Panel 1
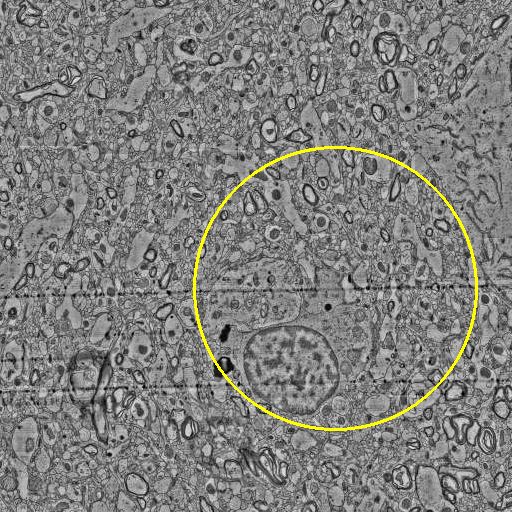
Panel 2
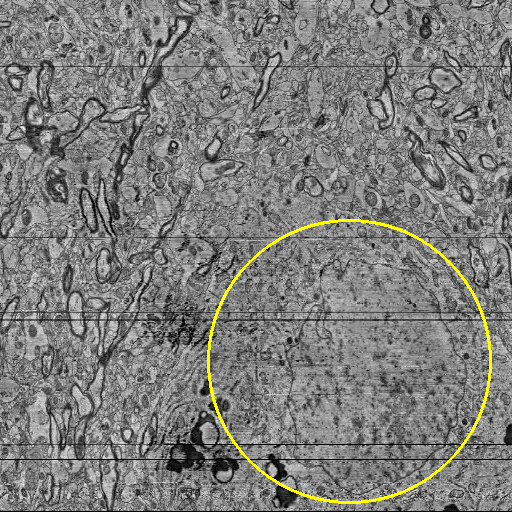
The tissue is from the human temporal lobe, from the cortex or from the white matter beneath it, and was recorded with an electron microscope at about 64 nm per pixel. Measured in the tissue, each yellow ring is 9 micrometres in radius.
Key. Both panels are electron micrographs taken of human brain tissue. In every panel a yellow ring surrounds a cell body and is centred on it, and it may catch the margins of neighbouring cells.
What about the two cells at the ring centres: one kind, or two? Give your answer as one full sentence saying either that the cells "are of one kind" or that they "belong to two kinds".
Across Panels 1 and 2, the two cells at the ring centres belong to two kinds.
